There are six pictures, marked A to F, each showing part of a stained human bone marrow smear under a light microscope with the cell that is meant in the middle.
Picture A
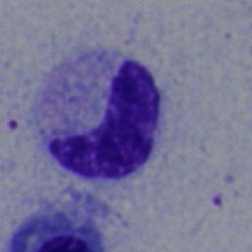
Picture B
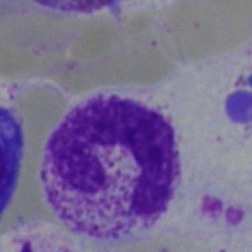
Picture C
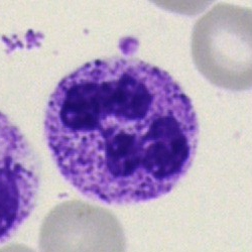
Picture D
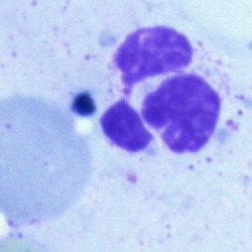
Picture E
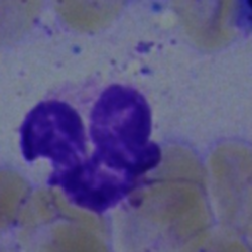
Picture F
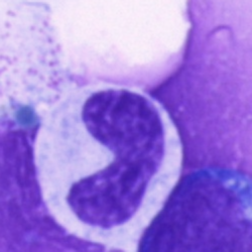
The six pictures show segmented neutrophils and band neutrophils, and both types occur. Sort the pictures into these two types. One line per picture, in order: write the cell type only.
band neutrophil
band neutrophil
segmented neutrophil
segmented neutrophil
segmented neutrophil
band neutrophil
